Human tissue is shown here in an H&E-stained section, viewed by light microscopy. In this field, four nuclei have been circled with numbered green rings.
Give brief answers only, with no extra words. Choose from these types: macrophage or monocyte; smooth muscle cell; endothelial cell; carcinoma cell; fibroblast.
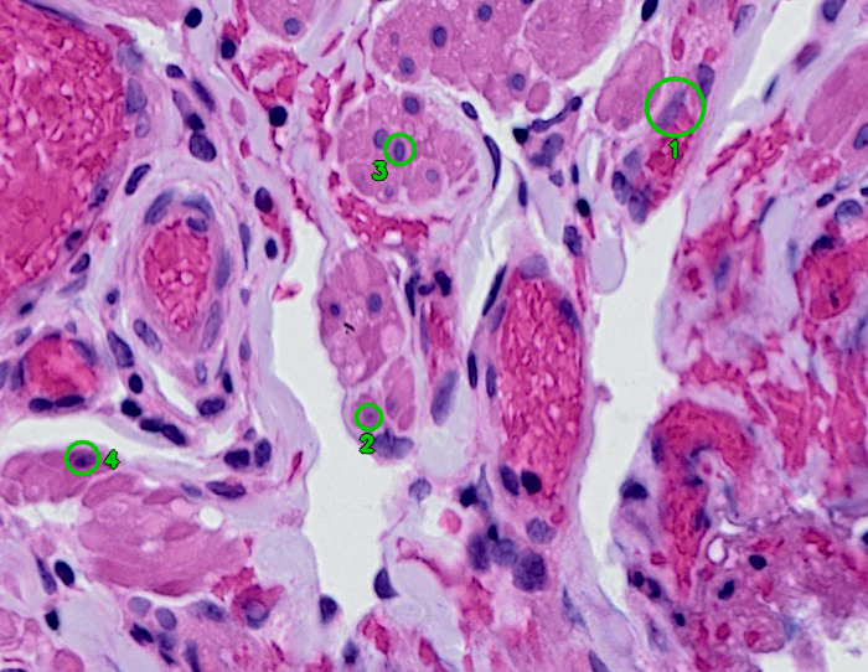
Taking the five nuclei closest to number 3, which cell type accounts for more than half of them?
smooth muscle cell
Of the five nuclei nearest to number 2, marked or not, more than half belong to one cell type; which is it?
endothelial cell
